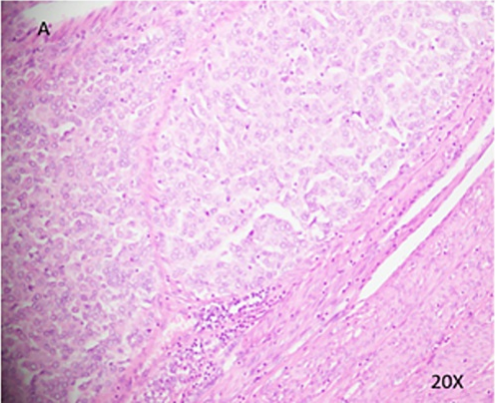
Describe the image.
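A tumour of moderately atypical epithelioid cells infiltrates smooth muscle, the cells arranged in solid sheets and trabecular cords. The tumour cells are closely packed, with rounded nuclei and moderate pale pink cytoplasm. Thin clefts and fine stroma separate some of the cords. Along the lower right edge lie bundles of elongated spindle-shaped smooth muscle cells with pink fibrillar cytoplasm. A small cluster of dark, small round cells sits at the interface between the tumour and the muscle.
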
